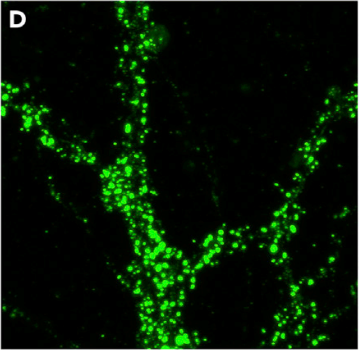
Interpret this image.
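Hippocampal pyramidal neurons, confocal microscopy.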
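A thicker trunk runs upward and divides into thinner branches that run off to the sides. The dots vary in size and brightness and crowd densely along the thicker part, thinning out along the finer branches. Between the dendrites the background is dark, with only a few scattered faint dots.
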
